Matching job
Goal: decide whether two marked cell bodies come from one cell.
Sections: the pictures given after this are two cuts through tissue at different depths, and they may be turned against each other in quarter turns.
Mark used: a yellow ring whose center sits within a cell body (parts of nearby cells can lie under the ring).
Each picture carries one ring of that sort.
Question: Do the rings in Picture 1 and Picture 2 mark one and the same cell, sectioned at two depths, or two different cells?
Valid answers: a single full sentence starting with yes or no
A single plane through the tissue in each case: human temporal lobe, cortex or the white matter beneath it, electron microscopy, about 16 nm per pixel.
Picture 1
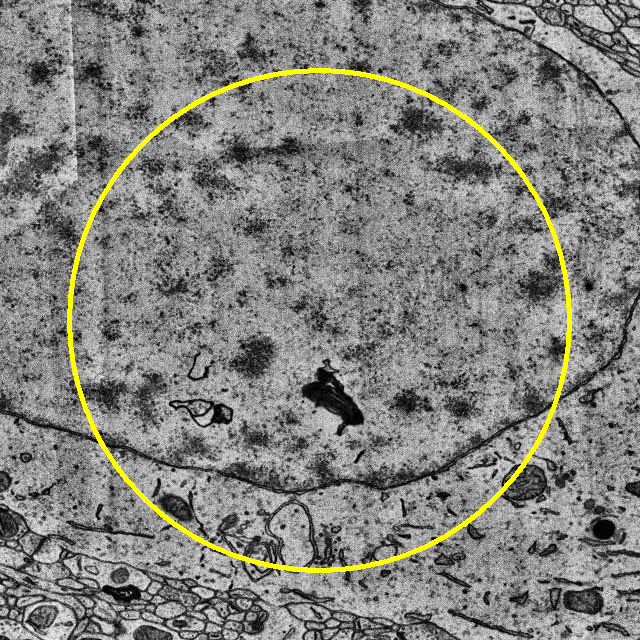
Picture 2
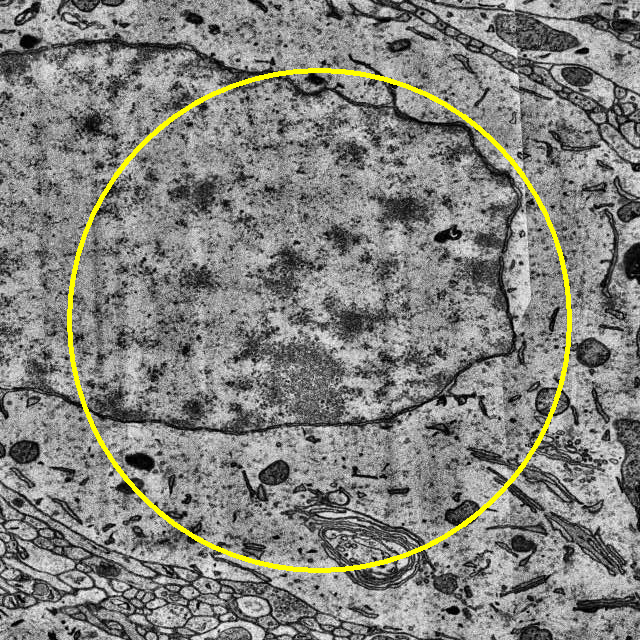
Yes, one cell appears twice, once in each ring.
